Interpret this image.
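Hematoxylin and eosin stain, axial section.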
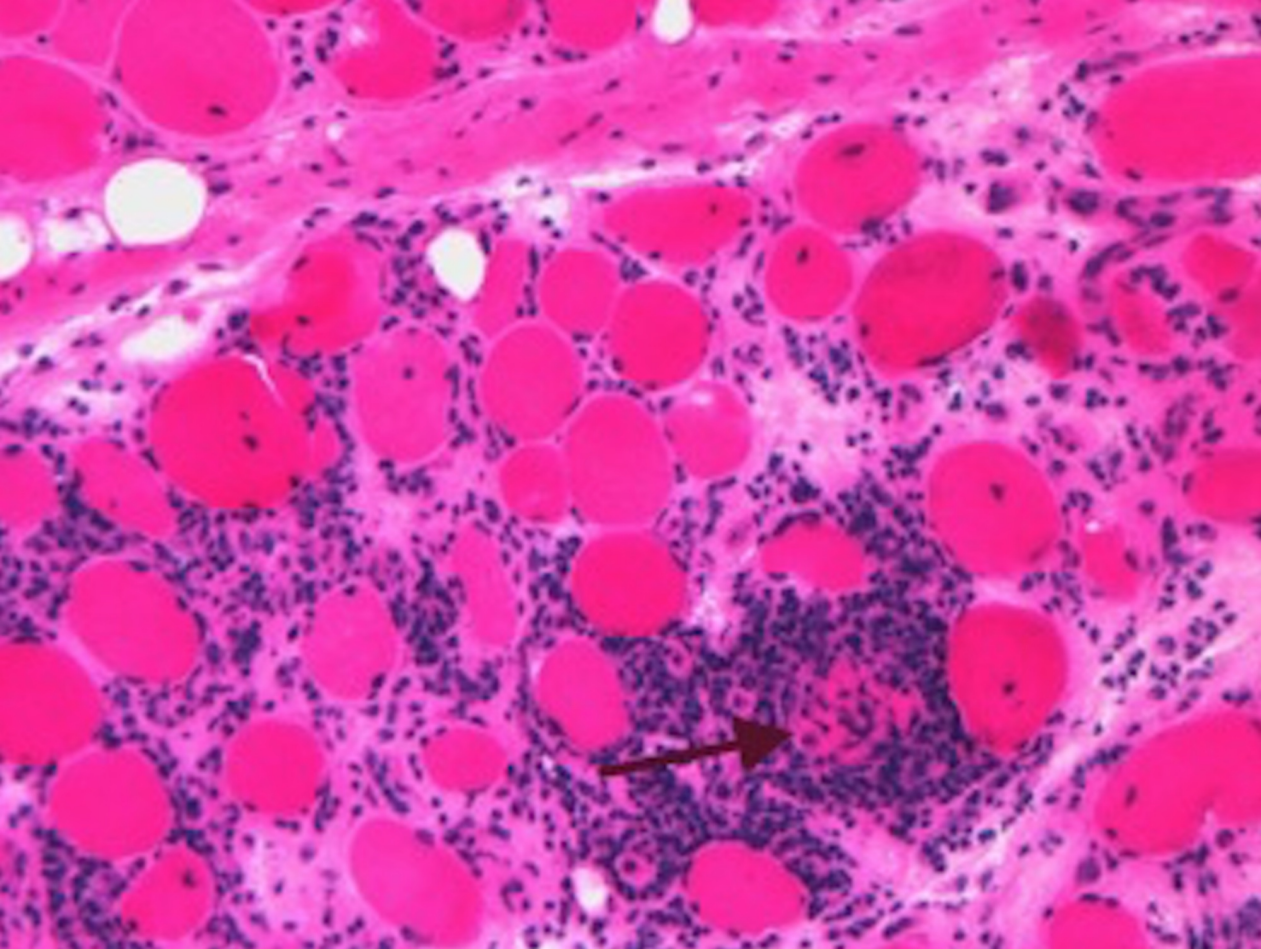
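This is a cross-section of skeletal muscle in which the fibers appear as rounded pink profiles of markedly varying size, some small and others several times larger. Between the fibers the space is widened and filled with many small, dark, round nuclei of inflammatory cells, most densely in the lower middle of the field. One fiber there is pale, mottled and irregular, with the dark cells crowding around and into it, a myocyte partly broken down. Toward the top the tissue is looser and more fibrous, with a few clear empty spaces of fat.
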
